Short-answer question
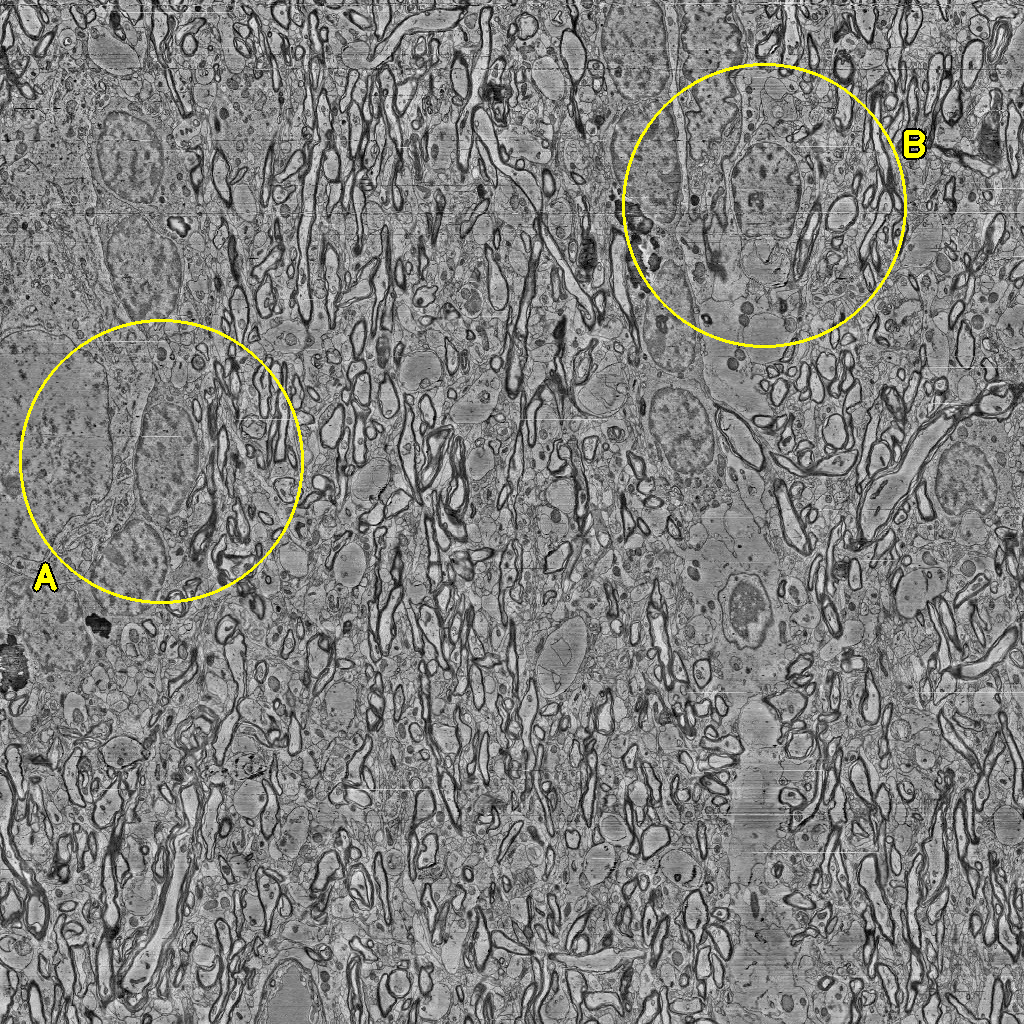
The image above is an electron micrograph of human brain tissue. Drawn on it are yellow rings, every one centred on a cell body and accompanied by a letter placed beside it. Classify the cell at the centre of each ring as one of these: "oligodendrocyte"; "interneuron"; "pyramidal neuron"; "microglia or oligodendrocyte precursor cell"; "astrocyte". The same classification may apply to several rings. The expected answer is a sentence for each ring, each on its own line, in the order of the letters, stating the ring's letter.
The cell at ring A is classified as an oligodendrocyte.
The cell at ring B is classified as a microglial cell or oligodendrocyte precursor cell.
